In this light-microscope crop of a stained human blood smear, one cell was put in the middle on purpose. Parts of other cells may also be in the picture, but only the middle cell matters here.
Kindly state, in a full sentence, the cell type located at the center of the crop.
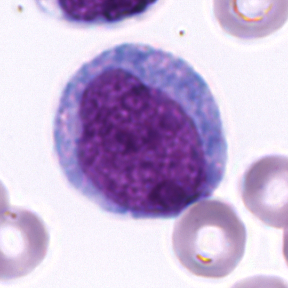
Positioned in the middle of the crop is a promyelocyte.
